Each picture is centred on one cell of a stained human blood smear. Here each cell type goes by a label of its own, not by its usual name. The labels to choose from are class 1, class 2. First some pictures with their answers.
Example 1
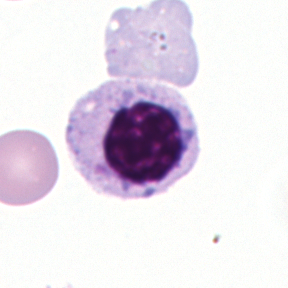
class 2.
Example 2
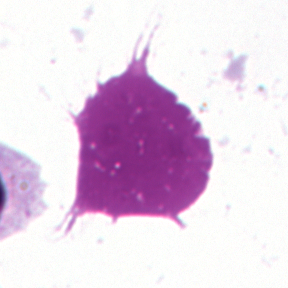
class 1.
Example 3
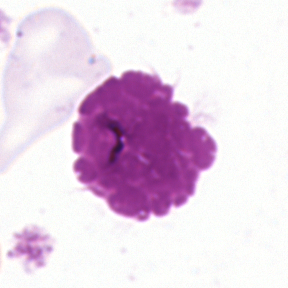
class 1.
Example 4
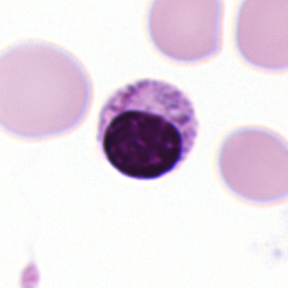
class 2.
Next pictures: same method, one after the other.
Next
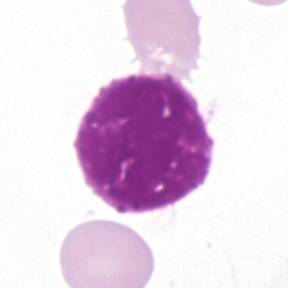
class 1.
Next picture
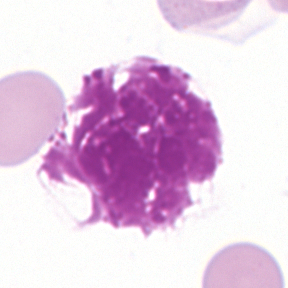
class 1.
